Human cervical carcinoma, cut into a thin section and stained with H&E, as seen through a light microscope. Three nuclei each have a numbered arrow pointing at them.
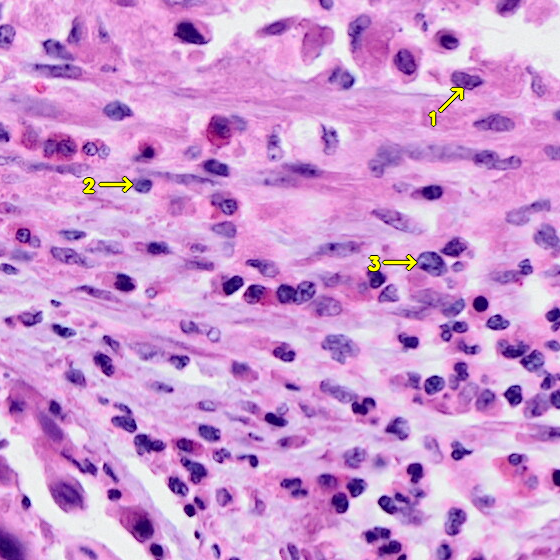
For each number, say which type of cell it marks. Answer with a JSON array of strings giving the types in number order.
["macrophage or monocyte", "lymphocyte", "lymphocyte"]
